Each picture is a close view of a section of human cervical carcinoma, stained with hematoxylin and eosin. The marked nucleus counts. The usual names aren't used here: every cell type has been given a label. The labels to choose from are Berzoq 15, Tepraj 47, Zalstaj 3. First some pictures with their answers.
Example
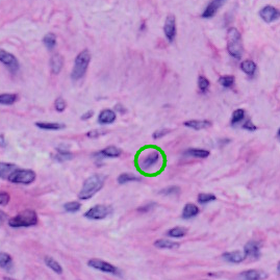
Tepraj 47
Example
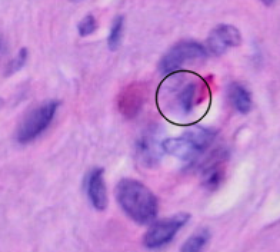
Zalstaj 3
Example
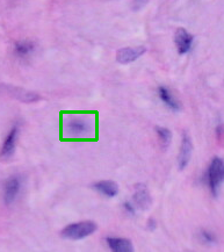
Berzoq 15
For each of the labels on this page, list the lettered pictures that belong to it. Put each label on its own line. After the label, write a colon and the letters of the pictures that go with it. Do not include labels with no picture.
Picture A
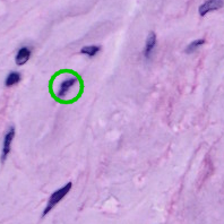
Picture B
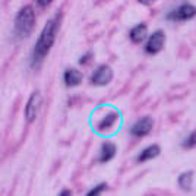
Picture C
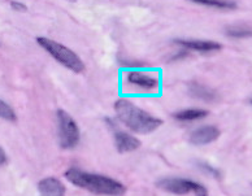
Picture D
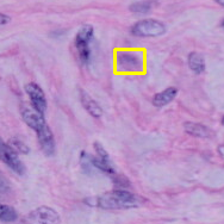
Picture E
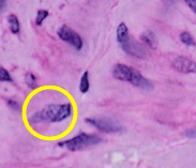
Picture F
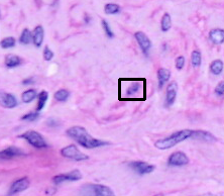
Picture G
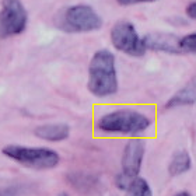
Berzoq 15: A, C, E, G
Tepraj 47: B, D, F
